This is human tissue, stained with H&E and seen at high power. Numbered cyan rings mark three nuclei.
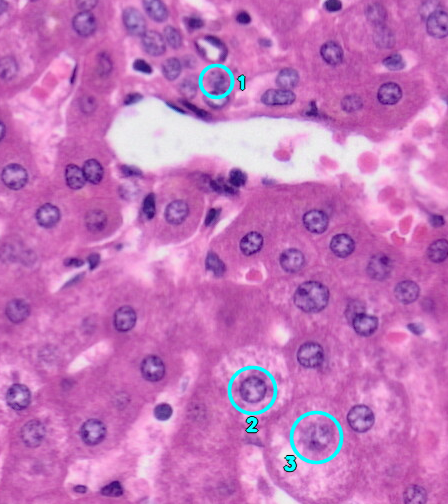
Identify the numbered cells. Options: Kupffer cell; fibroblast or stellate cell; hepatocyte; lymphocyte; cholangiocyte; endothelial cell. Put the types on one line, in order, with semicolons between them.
cholangiocyte; hepatocyte; hepatocyte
